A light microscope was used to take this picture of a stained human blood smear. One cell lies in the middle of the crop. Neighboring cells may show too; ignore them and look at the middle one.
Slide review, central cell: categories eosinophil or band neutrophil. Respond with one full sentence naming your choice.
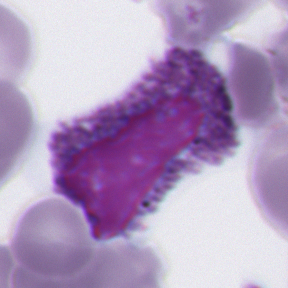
The cell positioned in the middle of the field is an eosinophil.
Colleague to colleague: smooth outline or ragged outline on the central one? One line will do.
Along its border, the cell is uneven, whether by ragged stretches or by projections.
